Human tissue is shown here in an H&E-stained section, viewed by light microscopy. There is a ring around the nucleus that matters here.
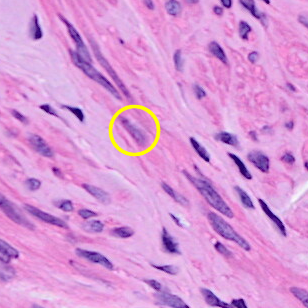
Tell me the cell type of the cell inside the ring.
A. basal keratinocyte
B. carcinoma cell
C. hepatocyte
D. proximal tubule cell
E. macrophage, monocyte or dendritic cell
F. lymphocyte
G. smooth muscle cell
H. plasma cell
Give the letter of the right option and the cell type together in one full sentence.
The correct option is G, as the cell inside the ring is a smooth muscle cell.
